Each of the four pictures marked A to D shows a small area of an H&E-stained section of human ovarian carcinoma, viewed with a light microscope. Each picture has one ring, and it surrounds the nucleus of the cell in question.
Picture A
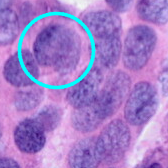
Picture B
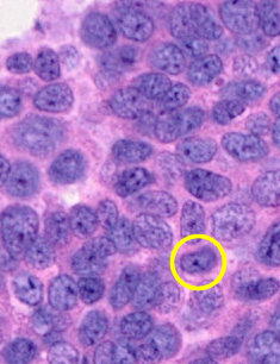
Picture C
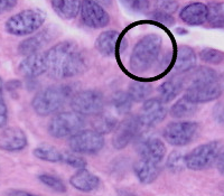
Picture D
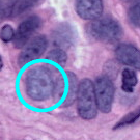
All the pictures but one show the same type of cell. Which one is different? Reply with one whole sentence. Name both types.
Picture B differs, because its cell is a “macrophage or monocyte” and the rest are carcinoma cells.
